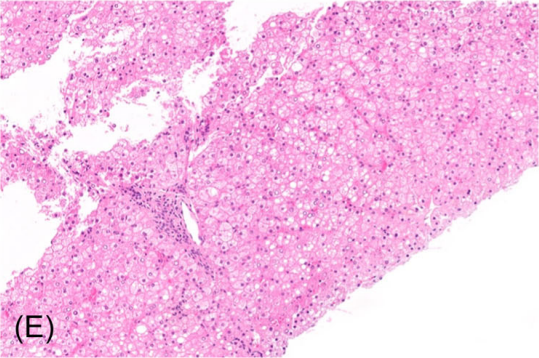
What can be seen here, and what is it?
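This liver core shows pale, swollen hepatocytes with clear cytoplasm and distinct cell borders, consistent with diffuse glycogen accumulation. Scattered hepatocytes contain single large round clear fat vacuoles, the pattern of mild macrovesicular steatosis. A portal tract with a small cluster of nuclei lies at the lower left, and the core is partly fragmented at the upper left.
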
